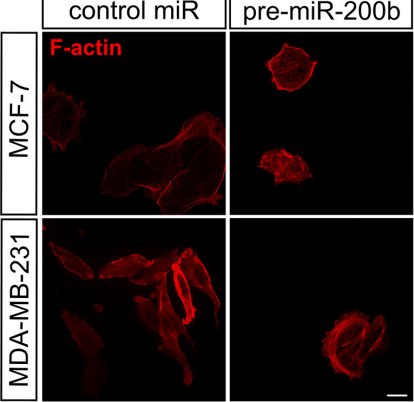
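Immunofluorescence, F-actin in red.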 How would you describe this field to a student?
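In the upper left, large flattened cells show a faint red network with brighter lines along the cell edges. In the upper right, small compact cells have a bright rim of red at their periphery. In the lower left, several elongated, spindle-shaped cells carry bright red lines along their long edges.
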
